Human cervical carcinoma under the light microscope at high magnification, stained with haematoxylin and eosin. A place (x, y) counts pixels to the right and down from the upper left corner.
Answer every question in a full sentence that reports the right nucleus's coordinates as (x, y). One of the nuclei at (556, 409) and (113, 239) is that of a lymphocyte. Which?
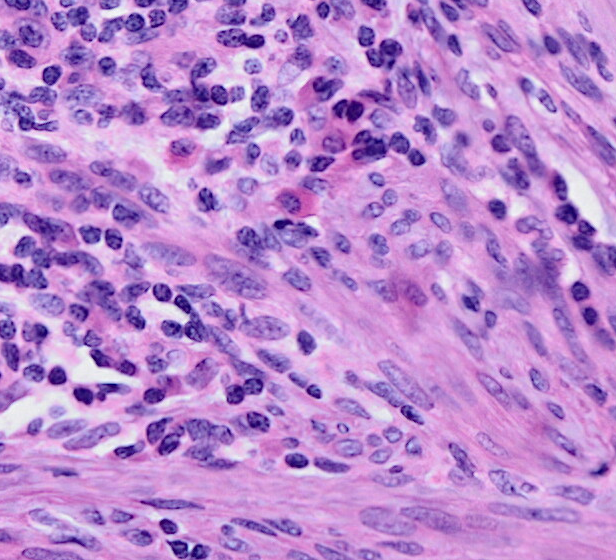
Between the two nuclei, the one sitting at (113, 239) belongs to a lymphocyte.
